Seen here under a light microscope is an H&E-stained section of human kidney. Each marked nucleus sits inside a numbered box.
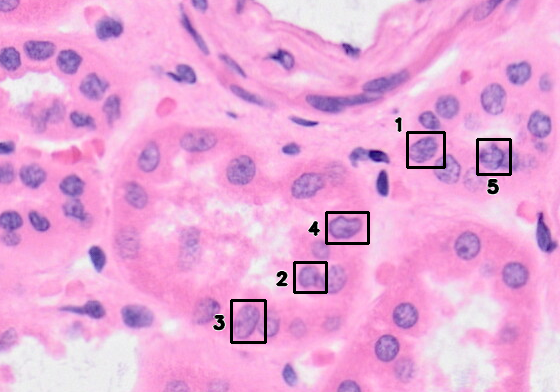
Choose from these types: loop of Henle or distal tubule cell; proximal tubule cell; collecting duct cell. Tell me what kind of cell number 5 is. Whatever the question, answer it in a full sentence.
The cell indicated by marker 5 is a collecting duct cell in this section.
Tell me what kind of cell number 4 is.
The cell with the number 4 is a proximal tubule cell.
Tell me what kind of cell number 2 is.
The cell tagged with 2 in this tissue section is a proximal tubule cell.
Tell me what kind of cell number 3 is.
Regarding cell 3, this one is a proximal tubule cell.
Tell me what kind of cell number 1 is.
The cell referenced by the number 1 is a collecting duct cell in this field.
